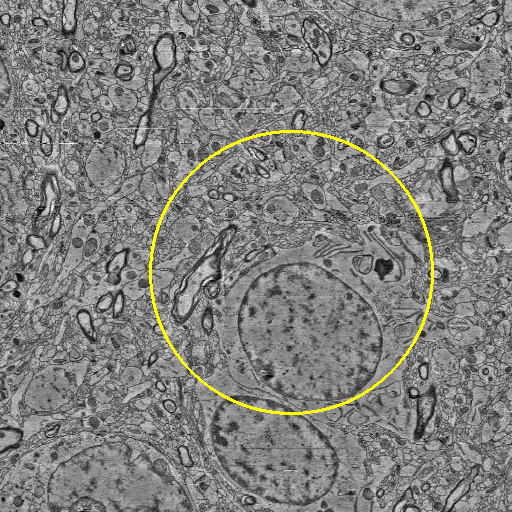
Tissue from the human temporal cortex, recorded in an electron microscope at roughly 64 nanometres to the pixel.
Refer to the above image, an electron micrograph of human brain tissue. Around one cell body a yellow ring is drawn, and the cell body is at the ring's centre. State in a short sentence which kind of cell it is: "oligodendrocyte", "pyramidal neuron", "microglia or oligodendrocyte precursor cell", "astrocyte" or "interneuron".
The centre of the ring falls on an astrocyte.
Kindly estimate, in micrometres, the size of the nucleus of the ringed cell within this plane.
In this plane, roughly 10 by 8 micrometres.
